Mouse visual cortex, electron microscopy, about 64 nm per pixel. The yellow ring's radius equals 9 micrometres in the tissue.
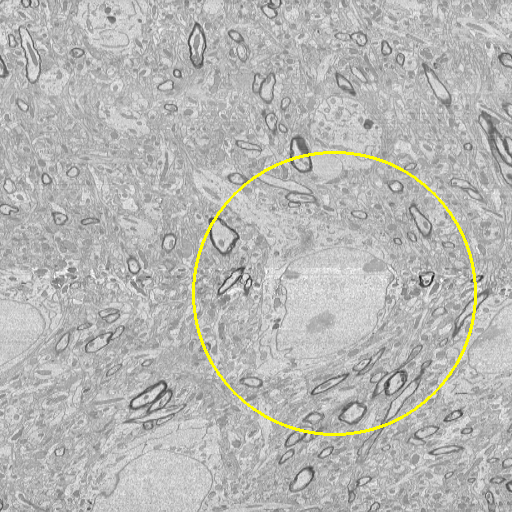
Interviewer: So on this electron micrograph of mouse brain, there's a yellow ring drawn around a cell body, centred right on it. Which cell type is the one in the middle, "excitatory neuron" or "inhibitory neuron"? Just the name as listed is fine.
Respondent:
excitatory neuron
